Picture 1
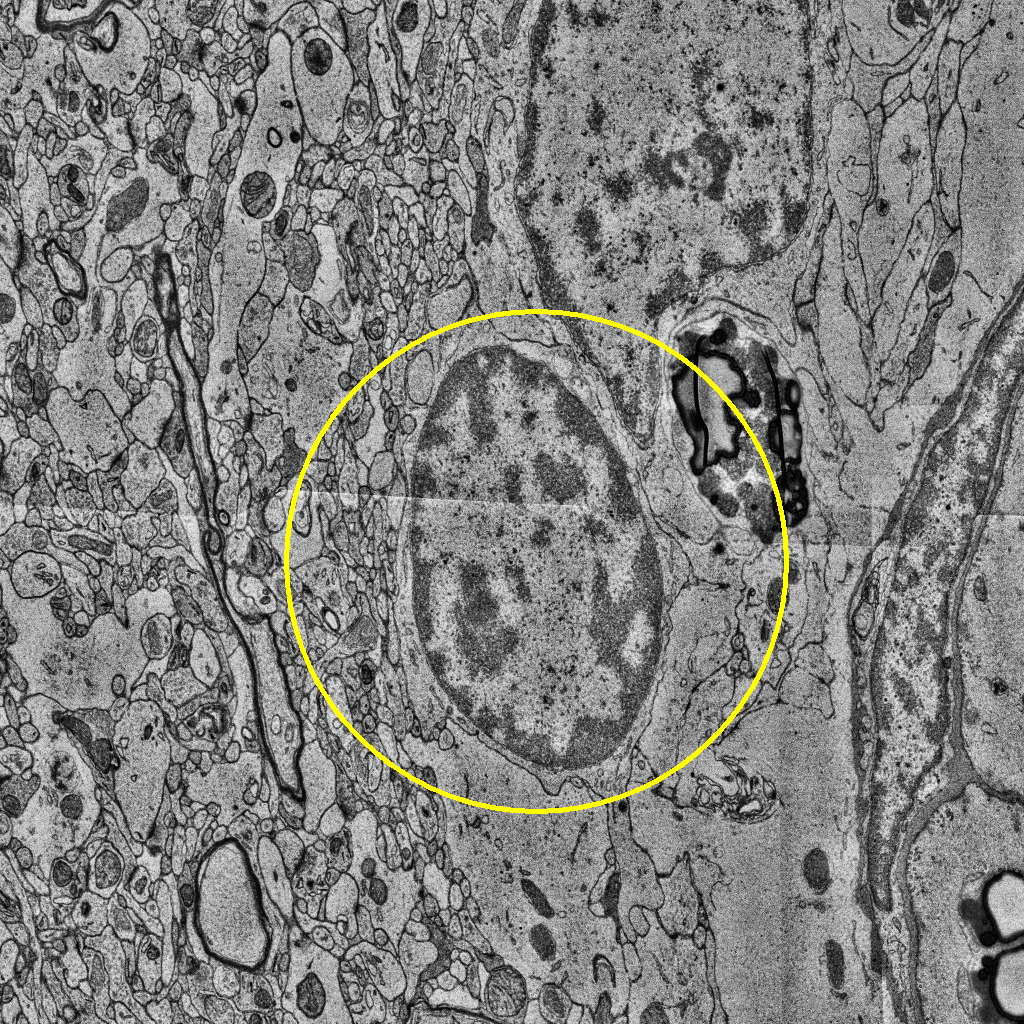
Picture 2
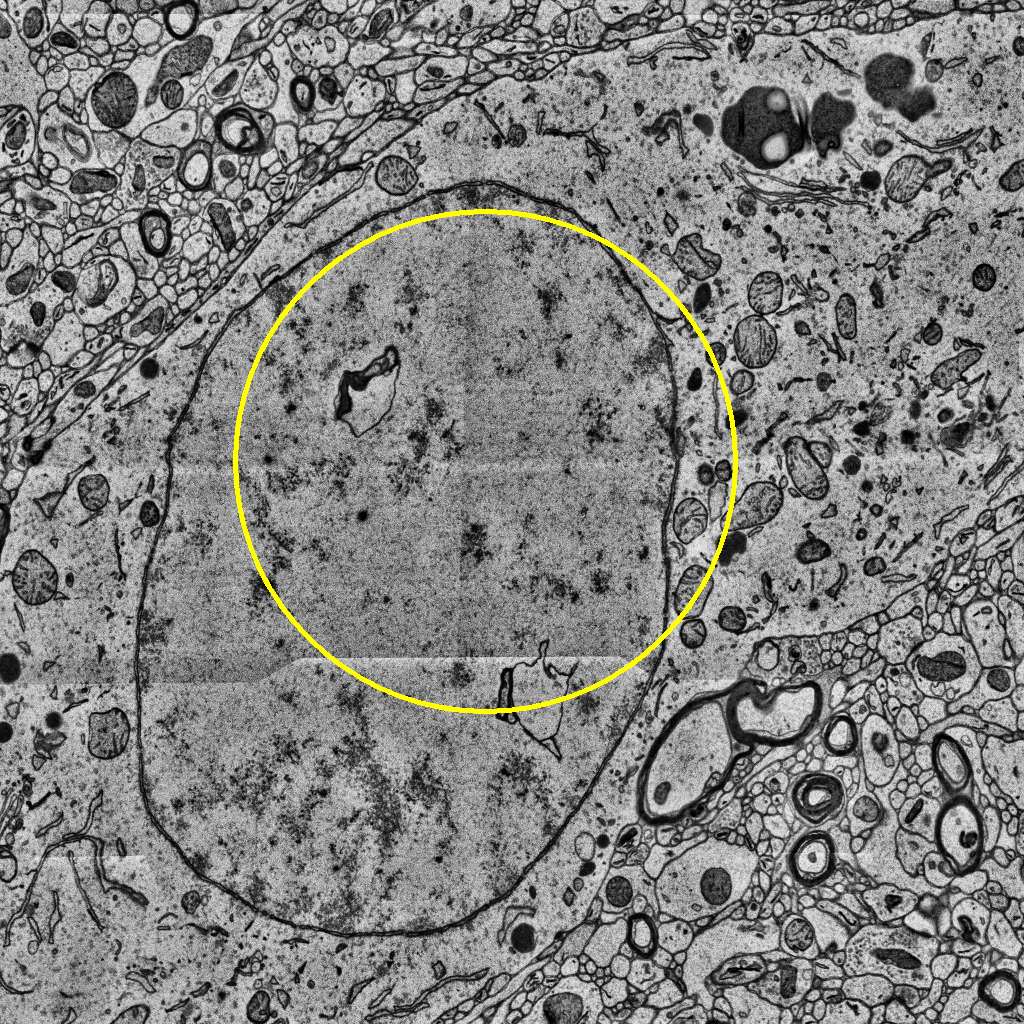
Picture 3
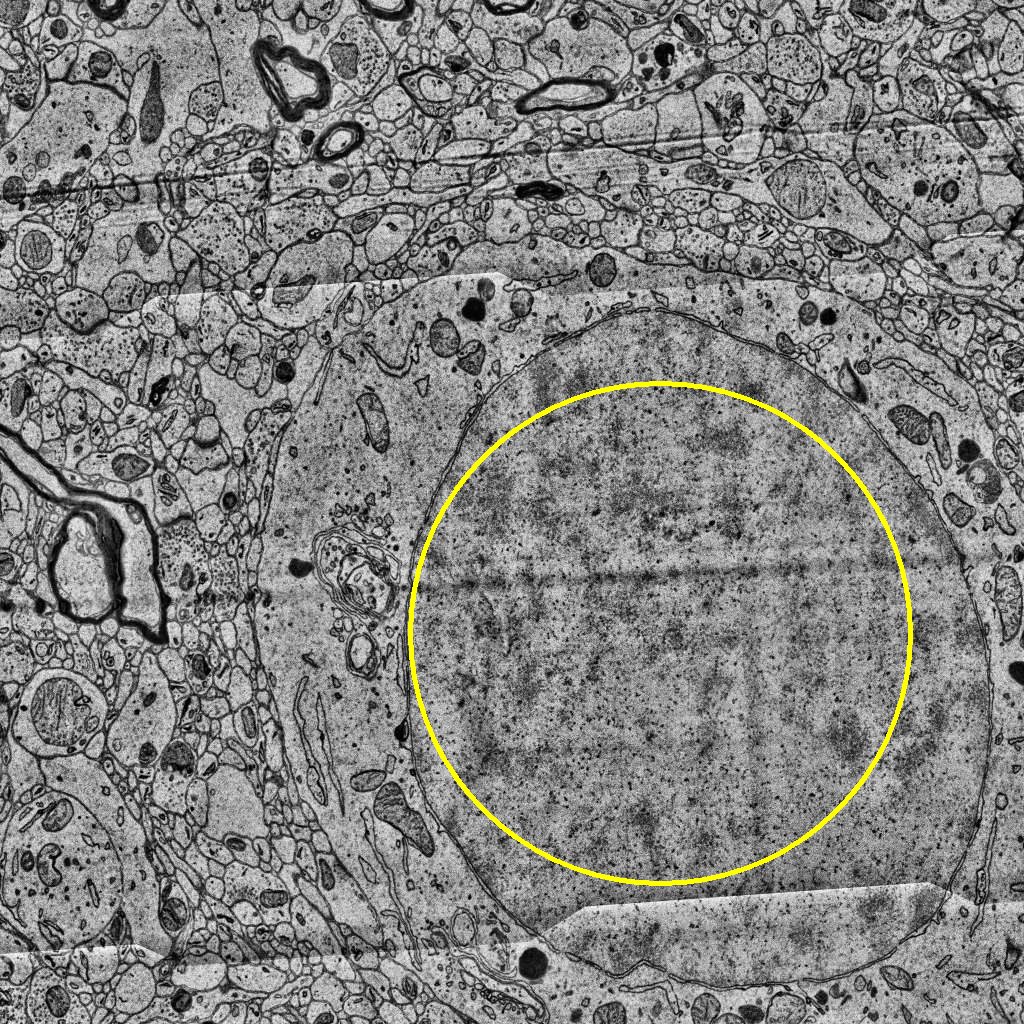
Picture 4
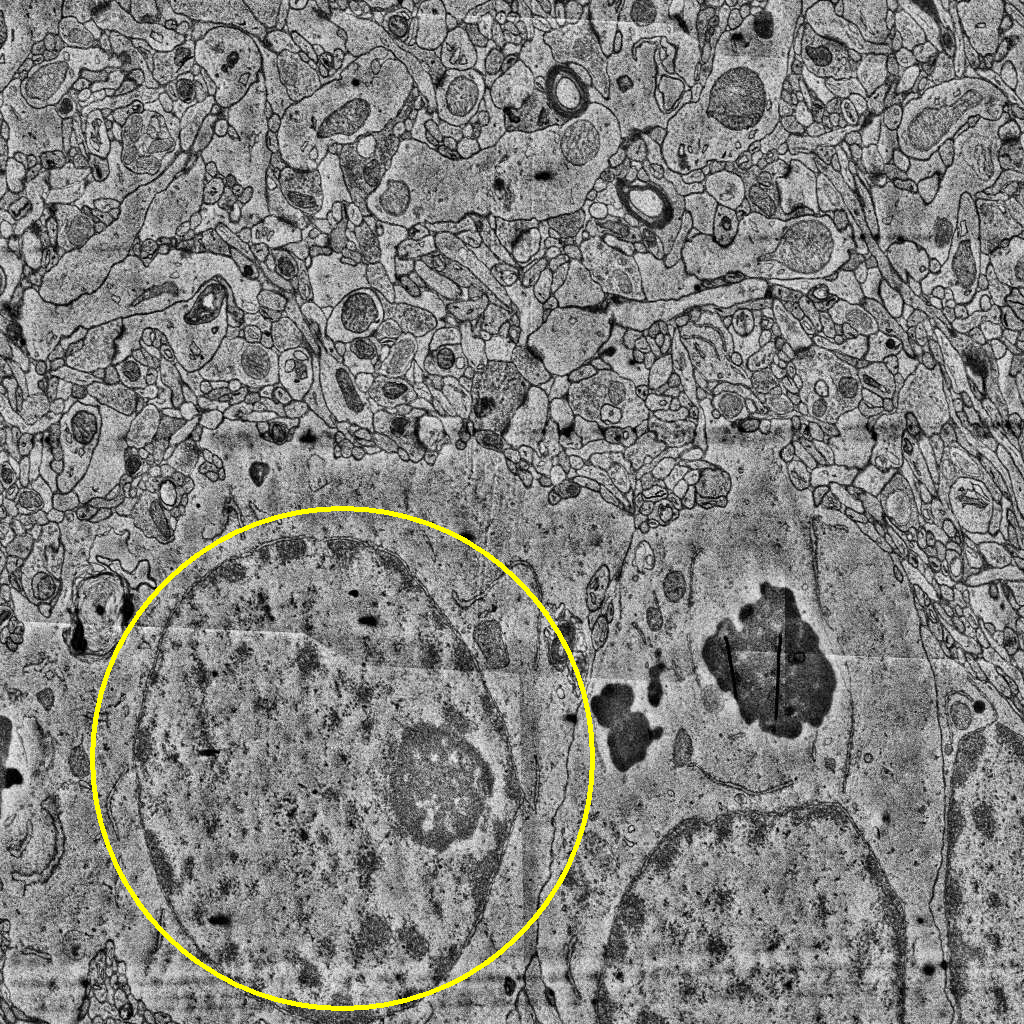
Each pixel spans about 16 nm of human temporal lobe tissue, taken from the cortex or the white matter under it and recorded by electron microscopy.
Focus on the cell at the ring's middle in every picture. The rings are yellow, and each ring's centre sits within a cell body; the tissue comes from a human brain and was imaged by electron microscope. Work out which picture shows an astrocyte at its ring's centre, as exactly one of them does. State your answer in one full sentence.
In picture 4, the ring's centre lies inside the cell in question.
